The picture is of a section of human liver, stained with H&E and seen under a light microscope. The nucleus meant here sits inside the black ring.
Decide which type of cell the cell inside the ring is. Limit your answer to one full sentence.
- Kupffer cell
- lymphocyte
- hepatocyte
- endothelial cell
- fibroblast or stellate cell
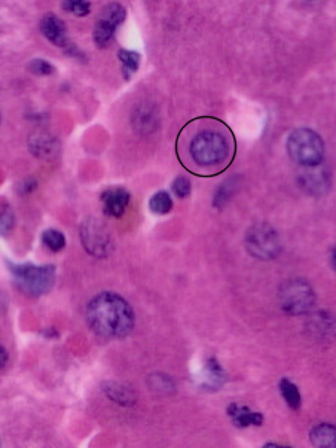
Labelled by cell type, the cell inside the ring is a hepatocyte.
